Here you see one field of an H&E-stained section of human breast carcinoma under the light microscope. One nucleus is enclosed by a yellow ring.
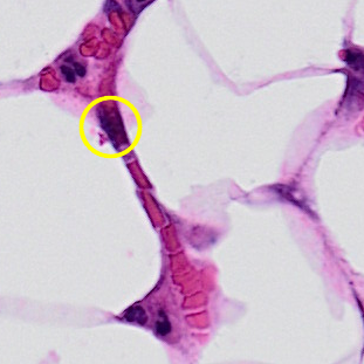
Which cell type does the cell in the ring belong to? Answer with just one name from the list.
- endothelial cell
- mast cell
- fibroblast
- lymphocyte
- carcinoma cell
endothelial cell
